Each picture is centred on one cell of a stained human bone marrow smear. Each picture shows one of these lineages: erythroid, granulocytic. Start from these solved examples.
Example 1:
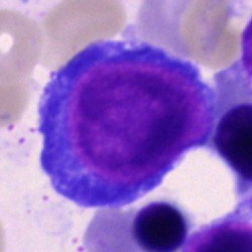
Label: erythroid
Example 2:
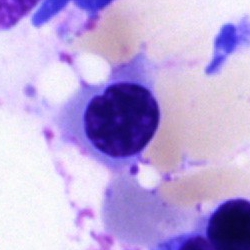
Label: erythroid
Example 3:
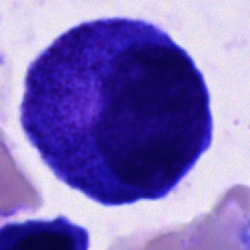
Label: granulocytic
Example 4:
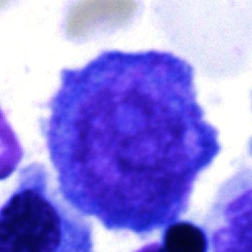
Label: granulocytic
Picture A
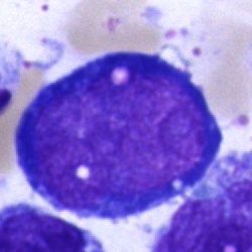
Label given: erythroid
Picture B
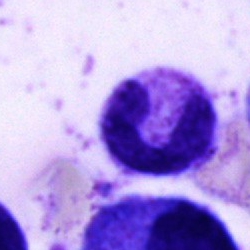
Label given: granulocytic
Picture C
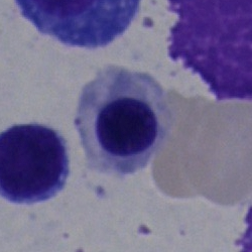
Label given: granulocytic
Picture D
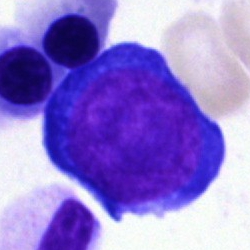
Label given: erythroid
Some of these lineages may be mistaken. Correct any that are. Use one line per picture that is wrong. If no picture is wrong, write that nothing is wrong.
C: change granulocytic to erythroid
